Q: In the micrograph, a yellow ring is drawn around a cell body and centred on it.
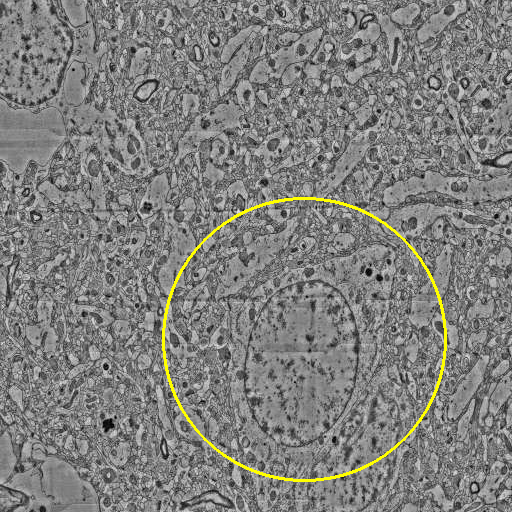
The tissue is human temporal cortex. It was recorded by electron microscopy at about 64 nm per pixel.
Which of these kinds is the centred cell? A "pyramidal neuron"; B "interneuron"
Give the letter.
A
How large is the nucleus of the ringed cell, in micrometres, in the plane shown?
The nucleus appears roughly 11 by 7 micrometres in this plane.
